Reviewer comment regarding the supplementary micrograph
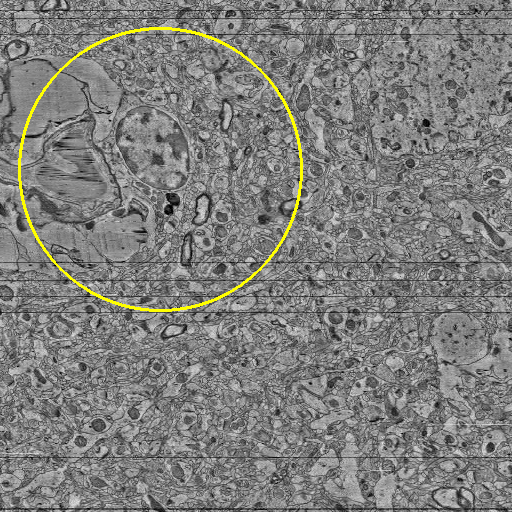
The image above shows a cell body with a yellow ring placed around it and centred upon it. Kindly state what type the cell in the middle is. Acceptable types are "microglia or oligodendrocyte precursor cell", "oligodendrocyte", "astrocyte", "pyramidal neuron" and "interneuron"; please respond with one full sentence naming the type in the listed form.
In the image above, the cell on which the yellow ring is centred is a microglial cell or oligodendrocyte precursor cell.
